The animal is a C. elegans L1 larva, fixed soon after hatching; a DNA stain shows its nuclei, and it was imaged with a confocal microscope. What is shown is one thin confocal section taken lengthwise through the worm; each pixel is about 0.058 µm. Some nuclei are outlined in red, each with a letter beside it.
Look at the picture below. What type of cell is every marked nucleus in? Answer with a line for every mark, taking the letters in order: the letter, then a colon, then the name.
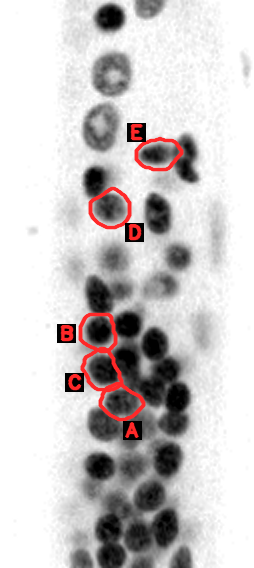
A: neuron
B: neuron
C: neuron
D: pharyngeal muscle cell
E: valve cell of the gut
